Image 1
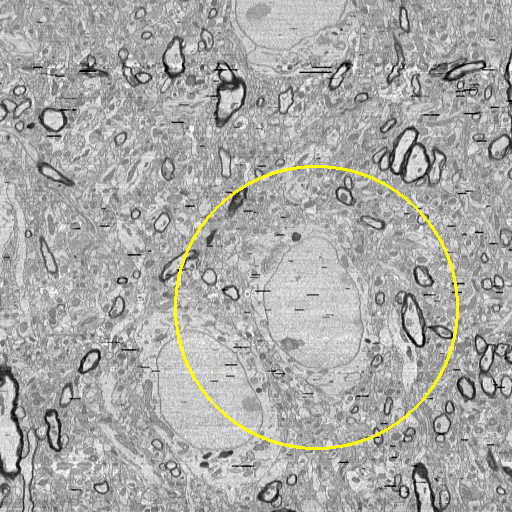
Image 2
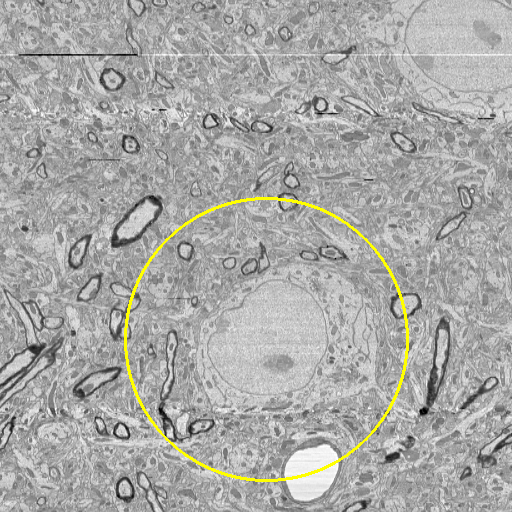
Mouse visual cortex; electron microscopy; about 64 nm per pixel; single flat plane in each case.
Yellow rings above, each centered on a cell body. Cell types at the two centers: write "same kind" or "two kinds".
same kind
